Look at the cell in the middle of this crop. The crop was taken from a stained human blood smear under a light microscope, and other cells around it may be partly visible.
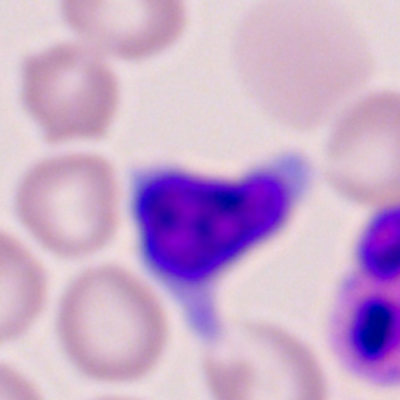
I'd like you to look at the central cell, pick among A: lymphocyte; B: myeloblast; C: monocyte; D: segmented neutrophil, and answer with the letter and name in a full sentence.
Option A is correct in naming the middle cell a lymphocyte.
